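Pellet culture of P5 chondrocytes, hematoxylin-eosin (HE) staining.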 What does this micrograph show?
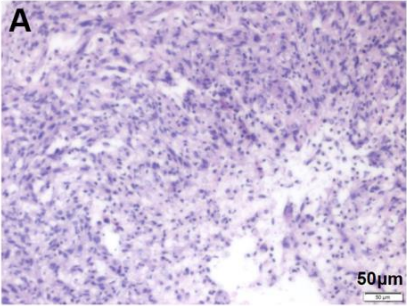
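The cells are densely packed, with small dark purple nuclei, many of them elongated or spindle-shaped, set in a pale pink-violet matrix. In places the tissue is looser, with pale clear spaces between strands of cells.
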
